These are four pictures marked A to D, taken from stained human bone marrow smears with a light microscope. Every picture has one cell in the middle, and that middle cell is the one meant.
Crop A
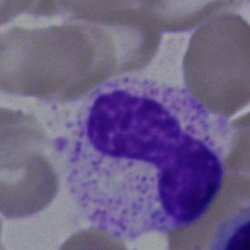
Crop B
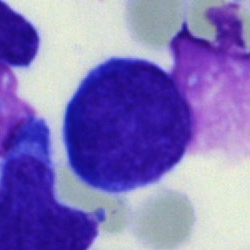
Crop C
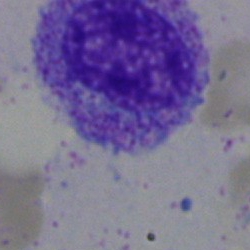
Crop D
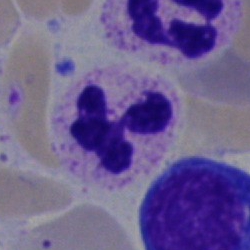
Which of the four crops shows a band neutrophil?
A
